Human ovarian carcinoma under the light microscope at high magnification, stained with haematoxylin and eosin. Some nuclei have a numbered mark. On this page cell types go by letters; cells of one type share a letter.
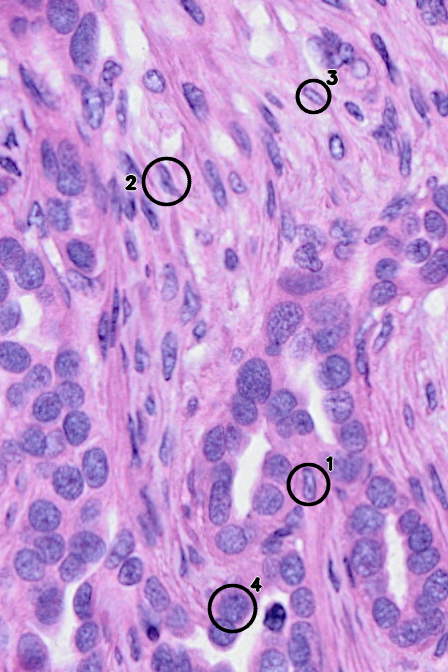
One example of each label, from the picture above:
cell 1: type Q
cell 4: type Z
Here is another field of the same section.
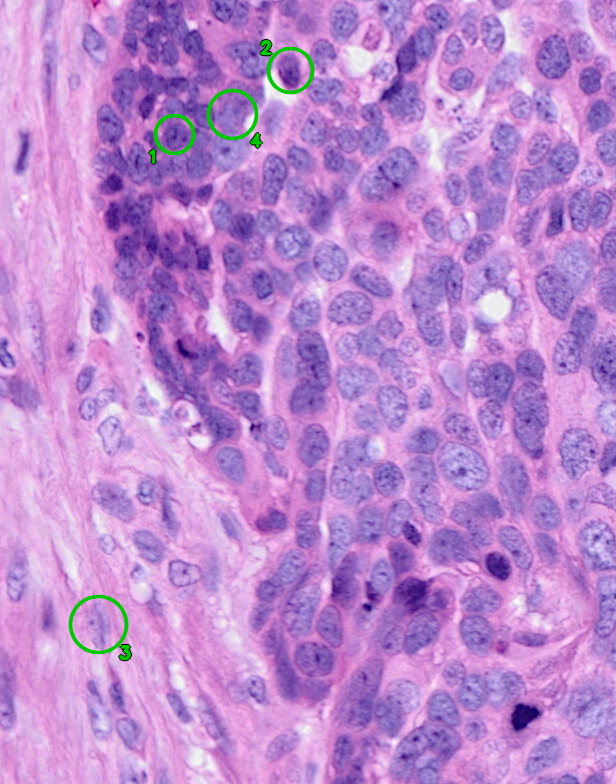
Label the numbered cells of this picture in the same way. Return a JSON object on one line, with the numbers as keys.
{"1": "type Z", "2": "type Z", "3": "type Q", "4": "type Z"}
